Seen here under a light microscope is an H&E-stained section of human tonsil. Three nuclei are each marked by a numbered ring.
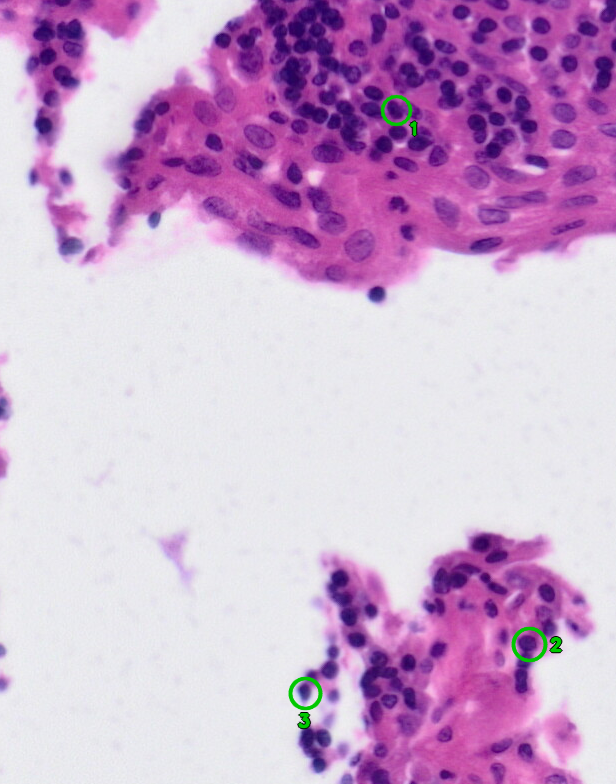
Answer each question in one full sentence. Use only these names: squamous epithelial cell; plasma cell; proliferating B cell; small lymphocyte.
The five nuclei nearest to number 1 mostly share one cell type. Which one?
Most of the five nuclei nearest to number 1 are those of plasma cells.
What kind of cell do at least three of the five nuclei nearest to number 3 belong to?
Small lymphocytes account for more than half of the five nuclei nearest to number 3.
